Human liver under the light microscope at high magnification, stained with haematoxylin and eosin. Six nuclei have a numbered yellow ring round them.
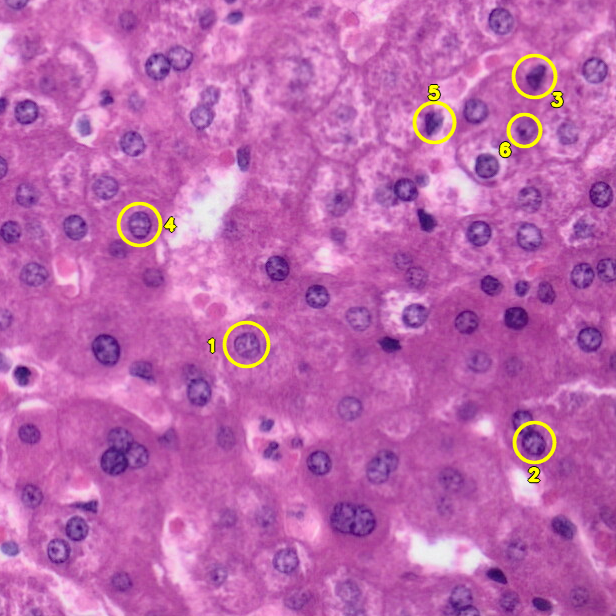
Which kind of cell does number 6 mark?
hepatocyte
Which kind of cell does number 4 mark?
hepatocyte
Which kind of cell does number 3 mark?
endothelial cell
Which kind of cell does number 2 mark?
hepatocyte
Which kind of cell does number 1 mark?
hepatocyte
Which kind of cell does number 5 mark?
endothelial cell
